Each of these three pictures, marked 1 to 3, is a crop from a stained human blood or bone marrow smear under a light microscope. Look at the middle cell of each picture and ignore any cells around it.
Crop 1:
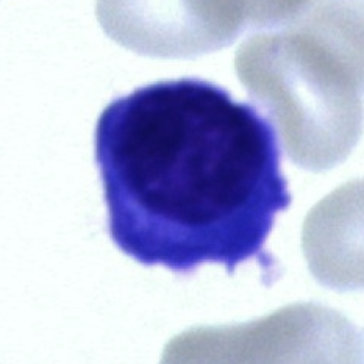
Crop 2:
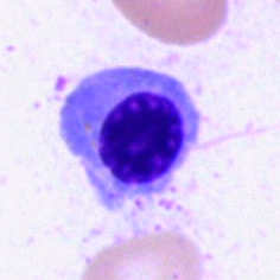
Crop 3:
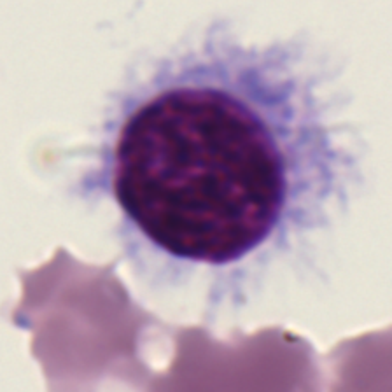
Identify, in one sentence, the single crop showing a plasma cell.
Crop 1 is the crop featuring a plasma cell at its center.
